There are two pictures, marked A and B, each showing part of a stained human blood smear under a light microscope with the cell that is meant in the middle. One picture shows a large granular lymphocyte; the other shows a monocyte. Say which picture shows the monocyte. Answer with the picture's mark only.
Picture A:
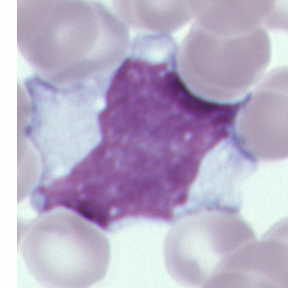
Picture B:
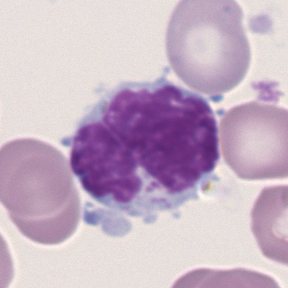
A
